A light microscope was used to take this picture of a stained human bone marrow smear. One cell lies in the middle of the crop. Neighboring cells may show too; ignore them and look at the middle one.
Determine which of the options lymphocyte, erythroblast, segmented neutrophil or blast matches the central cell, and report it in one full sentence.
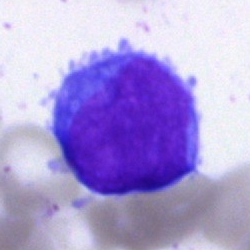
In the center of this field lies a blast.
